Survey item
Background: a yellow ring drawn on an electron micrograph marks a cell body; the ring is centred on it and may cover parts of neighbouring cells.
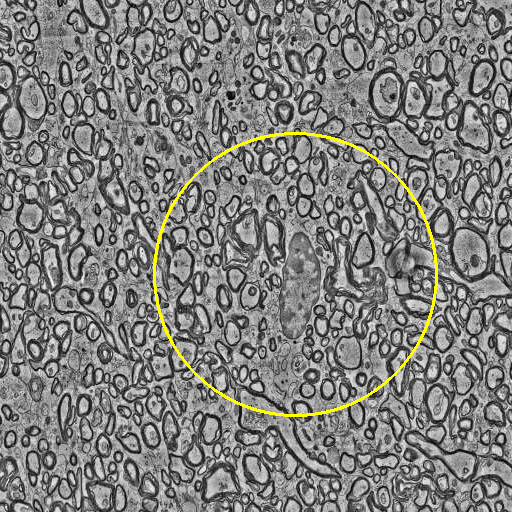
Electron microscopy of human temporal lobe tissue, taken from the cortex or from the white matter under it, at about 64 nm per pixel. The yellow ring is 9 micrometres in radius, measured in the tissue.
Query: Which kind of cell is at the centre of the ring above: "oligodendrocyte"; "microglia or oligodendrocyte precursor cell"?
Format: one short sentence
The cell in the middle of the ring is a microglial cell or oligodendrocyte precursor cell.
